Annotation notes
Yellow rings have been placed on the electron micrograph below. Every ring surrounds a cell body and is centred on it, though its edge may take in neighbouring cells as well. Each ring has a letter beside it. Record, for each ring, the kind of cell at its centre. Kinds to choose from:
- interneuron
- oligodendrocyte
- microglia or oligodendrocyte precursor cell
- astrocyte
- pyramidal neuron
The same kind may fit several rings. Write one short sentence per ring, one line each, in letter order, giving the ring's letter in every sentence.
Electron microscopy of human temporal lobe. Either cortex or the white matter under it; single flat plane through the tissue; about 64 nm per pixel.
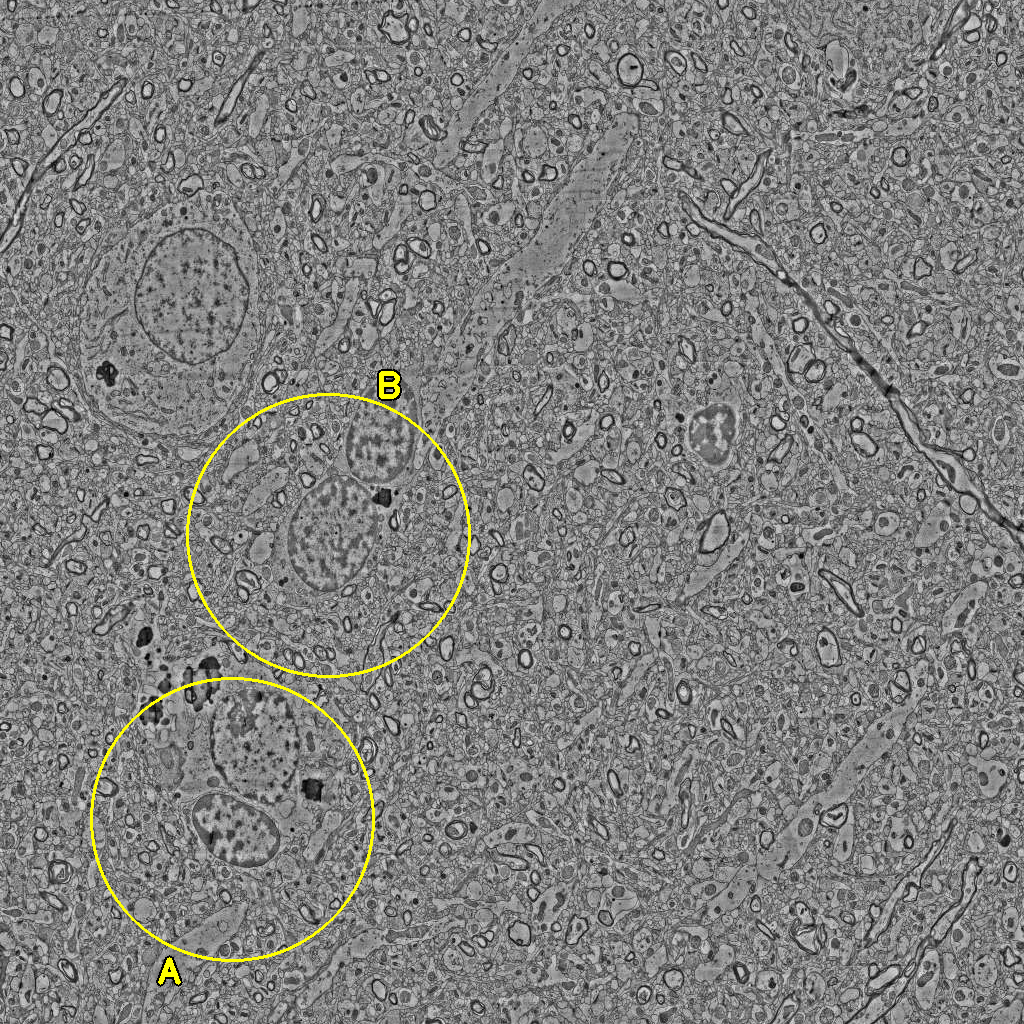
Ring A surrounds a microglial cell or oligodendrocyte precursor cell.
Ring B surrounds an oligodendrocyte.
